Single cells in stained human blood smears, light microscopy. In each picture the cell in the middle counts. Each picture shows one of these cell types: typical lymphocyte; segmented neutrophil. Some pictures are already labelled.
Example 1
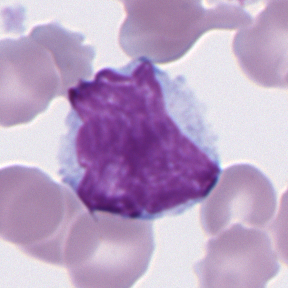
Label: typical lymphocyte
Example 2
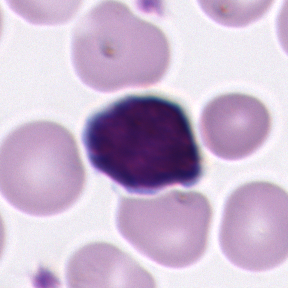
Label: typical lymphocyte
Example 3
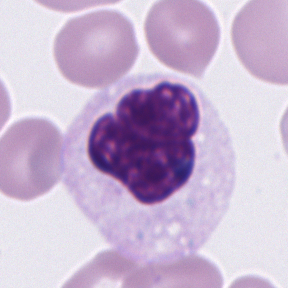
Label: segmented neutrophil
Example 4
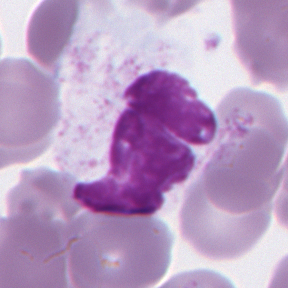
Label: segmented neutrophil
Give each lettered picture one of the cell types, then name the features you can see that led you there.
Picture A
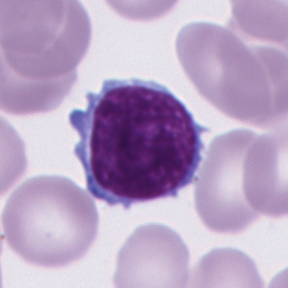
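typical lymphocyte. Reason: The cytoplasm forms only a narrow rim around the nucleus.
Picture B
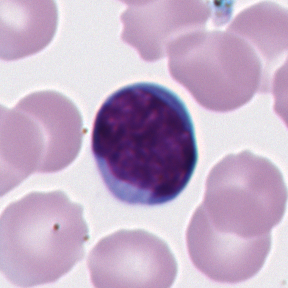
typical lymphocyte. Reason: The cytoplasm is scant, a thin rim that widens into a crescent at the lower left.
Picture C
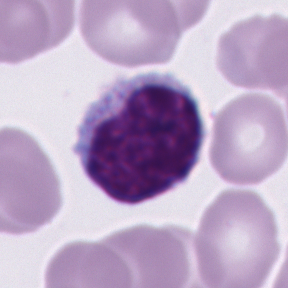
typical lymphocyte. Reason: The cytoplasm forms a narrow crescent mainly on the upper-left side of the nucleus.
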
